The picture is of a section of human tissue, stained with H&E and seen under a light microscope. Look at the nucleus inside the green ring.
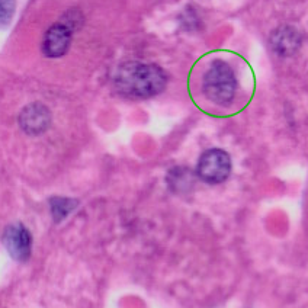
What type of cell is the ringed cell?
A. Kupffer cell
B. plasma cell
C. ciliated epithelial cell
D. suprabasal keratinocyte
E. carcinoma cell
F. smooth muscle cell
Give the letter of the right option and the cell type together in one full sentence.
Best answer: option A, with the ringed cell being a Kupffer cell.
